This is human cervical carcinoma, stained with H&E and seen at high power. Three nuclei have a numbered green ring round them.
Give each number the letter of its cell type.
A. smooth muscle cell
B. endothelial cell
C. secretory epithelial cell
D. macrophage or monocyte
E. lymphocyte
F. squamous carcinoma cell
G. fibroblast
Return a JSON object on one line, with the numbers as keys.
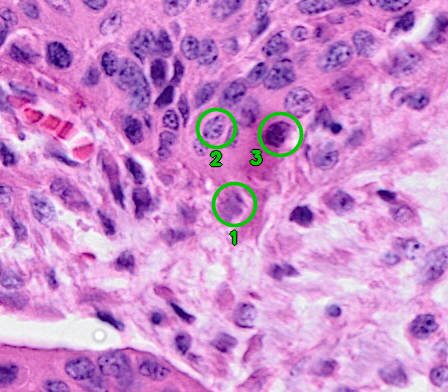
{"1": "G", "2": "F", "3": "F"}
